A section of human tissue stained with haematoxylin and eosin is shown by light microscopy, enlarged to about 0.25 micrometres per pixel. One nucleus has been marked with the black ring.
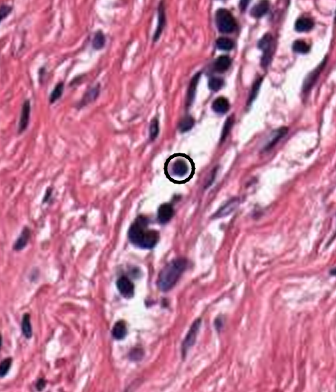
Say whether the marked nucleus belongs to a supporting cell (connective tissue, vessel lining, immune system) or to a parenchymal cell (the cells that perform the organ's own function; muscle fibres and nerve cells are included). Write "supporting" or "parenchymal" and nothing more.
supporting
